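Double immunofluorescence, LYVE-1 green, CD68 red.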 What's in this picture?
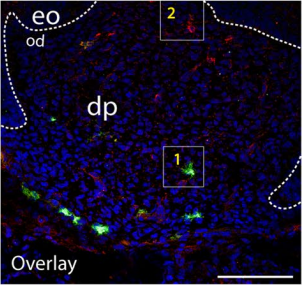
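Section of a developing tooth germ: the dental papilla fills the field, bordered by the enamel organ behind a dashed line, with the odontoblast layer along the border. Densely packed blue nuclei make up the papilla mesenchyme. Scattered irregular green cells lie within the papilla, and a row of elongated green cells runs along its lower edge. Small red cells are sparsely scattered through the papilla, some overlapping the green ones.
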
